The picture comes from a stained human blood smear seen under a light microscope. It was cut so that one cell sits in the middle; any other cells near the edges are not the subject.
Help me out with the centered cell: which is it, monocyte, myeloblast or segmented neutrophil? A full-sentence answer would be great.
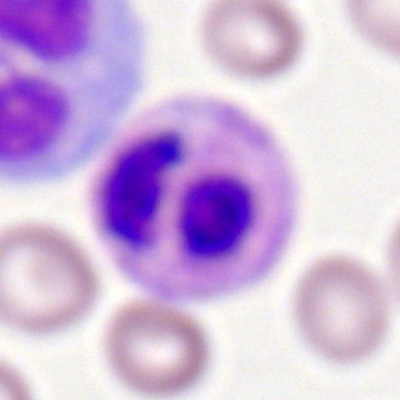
The cell at the middle of the frame should be recorded as a segmented neutrophil.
